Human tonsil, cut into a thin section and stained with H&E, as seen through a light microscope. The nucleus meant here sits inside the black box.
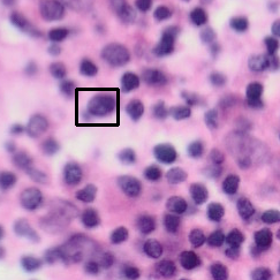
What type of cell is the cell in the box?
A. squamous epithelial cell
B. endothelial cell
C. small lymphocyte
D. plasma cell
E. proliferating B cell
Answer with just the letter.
E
